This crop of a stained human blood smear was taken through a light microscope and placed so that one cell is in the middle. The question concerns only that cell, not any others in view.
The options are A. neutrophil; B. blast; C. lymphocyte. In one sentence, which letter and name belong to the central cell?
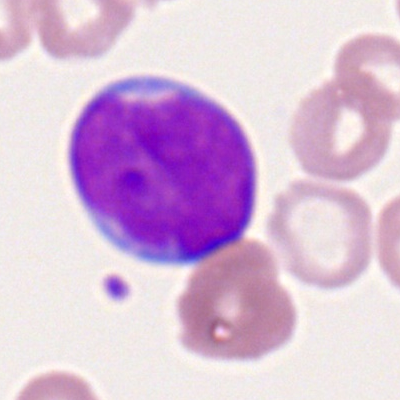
The correct choice is option B, which identifies the middle cell as a blast.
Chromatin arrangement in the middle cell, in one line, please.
No coarse chromatin clumps are present; the pattern is fine.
